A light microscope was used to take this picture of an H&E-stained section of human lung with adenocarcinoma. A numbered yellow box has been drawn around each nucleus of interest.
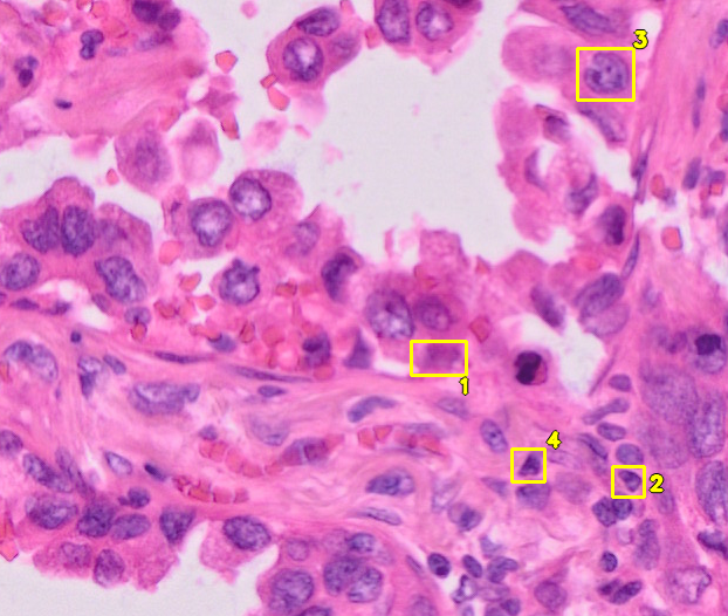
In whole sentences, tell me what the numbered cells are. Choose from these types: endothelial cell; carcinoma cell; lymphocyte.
Cell 1 is a carcinoma cell, cell 2 is a lymphocyte, cell 3 is a carcinoma cell and cell 4 is a lymphocyte.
